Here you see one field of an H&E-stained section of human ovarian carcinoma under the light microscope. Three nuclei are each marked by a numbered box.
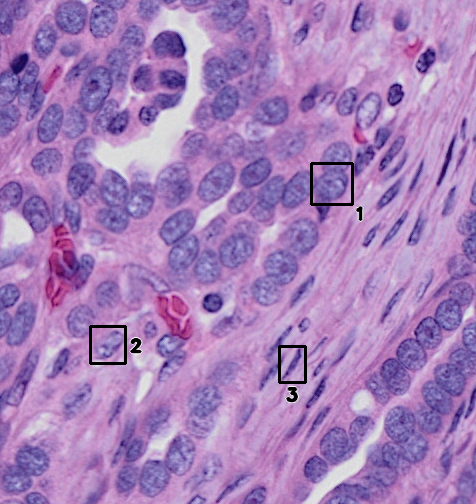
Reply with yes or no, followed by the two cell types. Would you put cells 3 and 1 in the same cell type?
No, the cell tagged 3 is a fibroblast, whereas the cell tagged 1 is a carcinoma cell.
